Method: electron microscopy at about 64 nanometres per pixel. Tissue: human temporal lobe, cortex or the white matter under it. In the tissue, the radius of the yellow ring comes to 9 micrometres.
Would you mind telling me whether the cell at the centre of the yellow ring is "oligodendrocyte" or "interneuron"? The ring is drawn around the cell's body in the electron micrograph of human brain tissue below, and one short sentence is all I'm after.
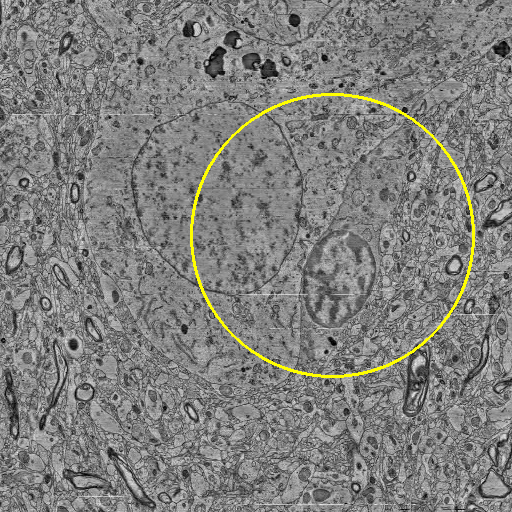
In the centre of the ring lies an oligodendrocyte.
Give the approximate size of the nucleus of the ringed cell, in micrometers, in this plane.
In this plane the nucleus is roughly 7 by 4 micrometres, clearly longer than it is wide.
